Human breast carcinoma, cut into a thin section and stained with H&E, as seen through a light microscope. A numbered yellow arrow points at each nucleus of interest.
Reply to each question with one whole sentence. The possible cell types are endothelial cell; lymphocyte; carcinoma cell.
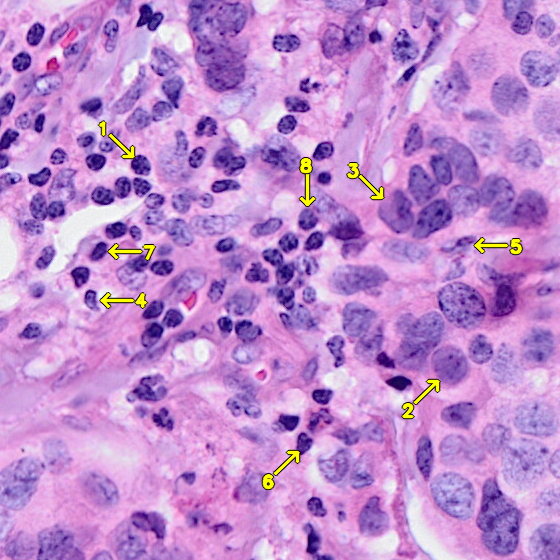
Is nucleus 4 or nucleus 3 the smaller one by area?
Number 4 is smaller, since number 3 takes up about 4 times as much area.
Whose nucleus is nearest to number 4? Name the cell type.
Closest to number 4 lies the nucleus of a lymphocyte.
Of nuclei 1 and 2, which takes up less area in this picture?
Nucleus 1 covers less area, with nucleus 2 about 3 times as large.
